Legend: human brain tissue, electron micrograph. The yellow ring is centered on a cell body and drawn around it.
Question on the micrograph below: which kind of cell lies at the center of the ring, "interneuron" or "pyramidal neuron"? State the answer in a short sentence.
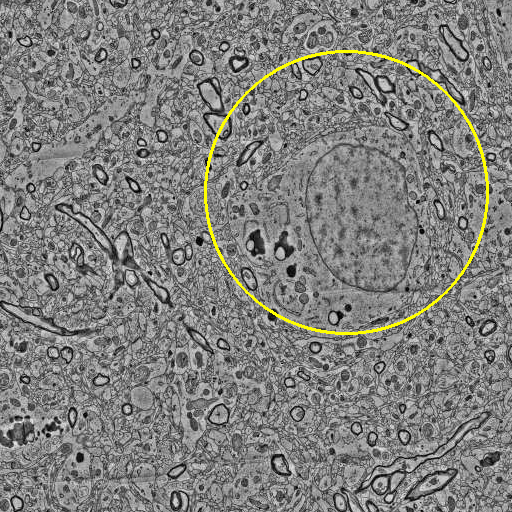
At the center of the ring lies a pyramidal neuron.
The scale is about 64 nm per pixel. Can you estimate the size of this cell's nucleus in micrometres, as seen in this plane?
The ringed cell's nucleus is about 10 micrometres long and 7 micrometres wide in this plane.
